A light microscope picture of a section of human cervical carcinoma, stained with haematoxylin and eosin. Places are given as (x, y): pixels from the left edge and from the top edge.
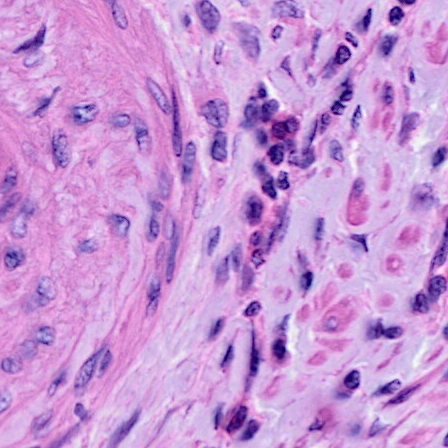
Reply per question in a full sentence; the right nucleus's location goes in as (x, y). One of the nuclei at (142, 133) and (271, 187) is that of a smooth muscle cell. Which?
So, of the two, the nucleus at (142, 133) is the one belonging to a smooth muscle cell.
